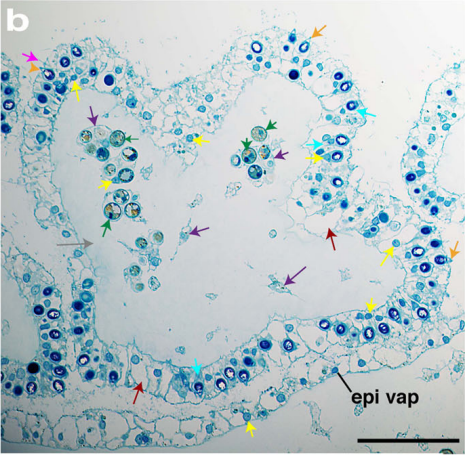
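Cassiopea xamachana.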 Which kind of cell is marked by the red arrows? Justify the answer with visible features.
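Oddly shaped ectoderm cells. The arrowed cells lie in the outer layer without dark blue capsules. They are pale and irregular in shape.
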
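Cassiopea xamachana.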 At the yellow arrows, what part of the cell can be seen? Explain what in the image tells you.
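Nuclei. The arrowed bodies are small round blue-stained structures inside cells.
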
